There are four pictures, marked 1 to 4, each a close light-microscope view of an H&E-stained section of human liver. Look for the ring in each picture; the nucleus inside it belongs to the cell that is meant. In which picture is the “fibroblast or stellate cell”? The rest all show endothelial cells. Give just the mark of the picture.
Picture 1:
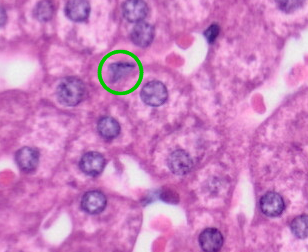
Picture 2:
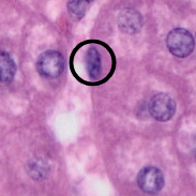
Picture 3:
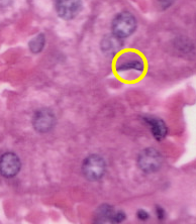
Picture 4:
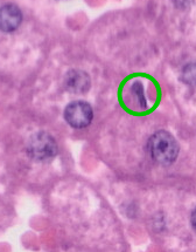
2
